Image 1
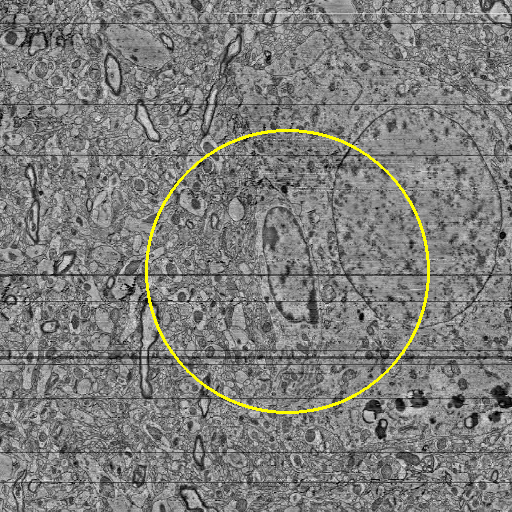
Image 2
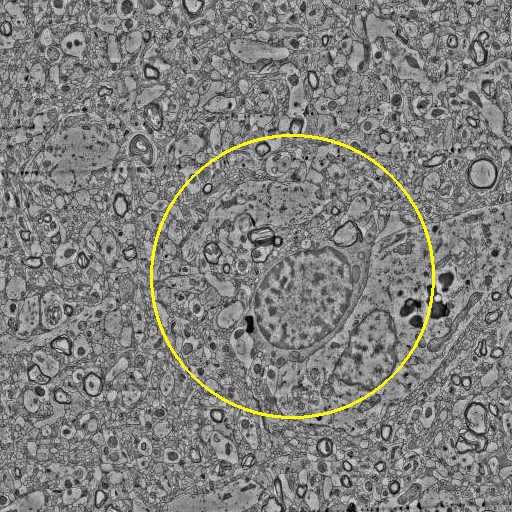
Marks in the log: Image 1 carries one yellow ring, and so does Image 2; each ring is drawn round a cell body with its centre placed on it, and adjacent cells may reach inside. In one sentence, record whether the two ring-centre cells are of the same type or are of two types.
The two cells at the ring centres, one in each image, are of two types.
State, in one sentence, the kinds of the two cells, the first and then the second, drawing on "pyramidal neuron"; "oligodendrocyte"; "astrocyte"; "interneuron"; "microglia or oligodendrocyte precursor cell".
The ring in the second picture is centred on an oligodendrocyte, the ring in the first on a microglial cell or oligodendrocyte precursor cell.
